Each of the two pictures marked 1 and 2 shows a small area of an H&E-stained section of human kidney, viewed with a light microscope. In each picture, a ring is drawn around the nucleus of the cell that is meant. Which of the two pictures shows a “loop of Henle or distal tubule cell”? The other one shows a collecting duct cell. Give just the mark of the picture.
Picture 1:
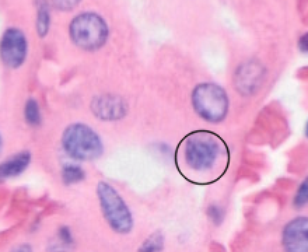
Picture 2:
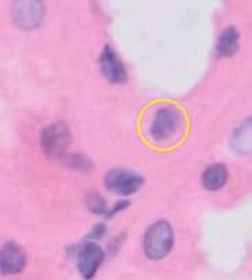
2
